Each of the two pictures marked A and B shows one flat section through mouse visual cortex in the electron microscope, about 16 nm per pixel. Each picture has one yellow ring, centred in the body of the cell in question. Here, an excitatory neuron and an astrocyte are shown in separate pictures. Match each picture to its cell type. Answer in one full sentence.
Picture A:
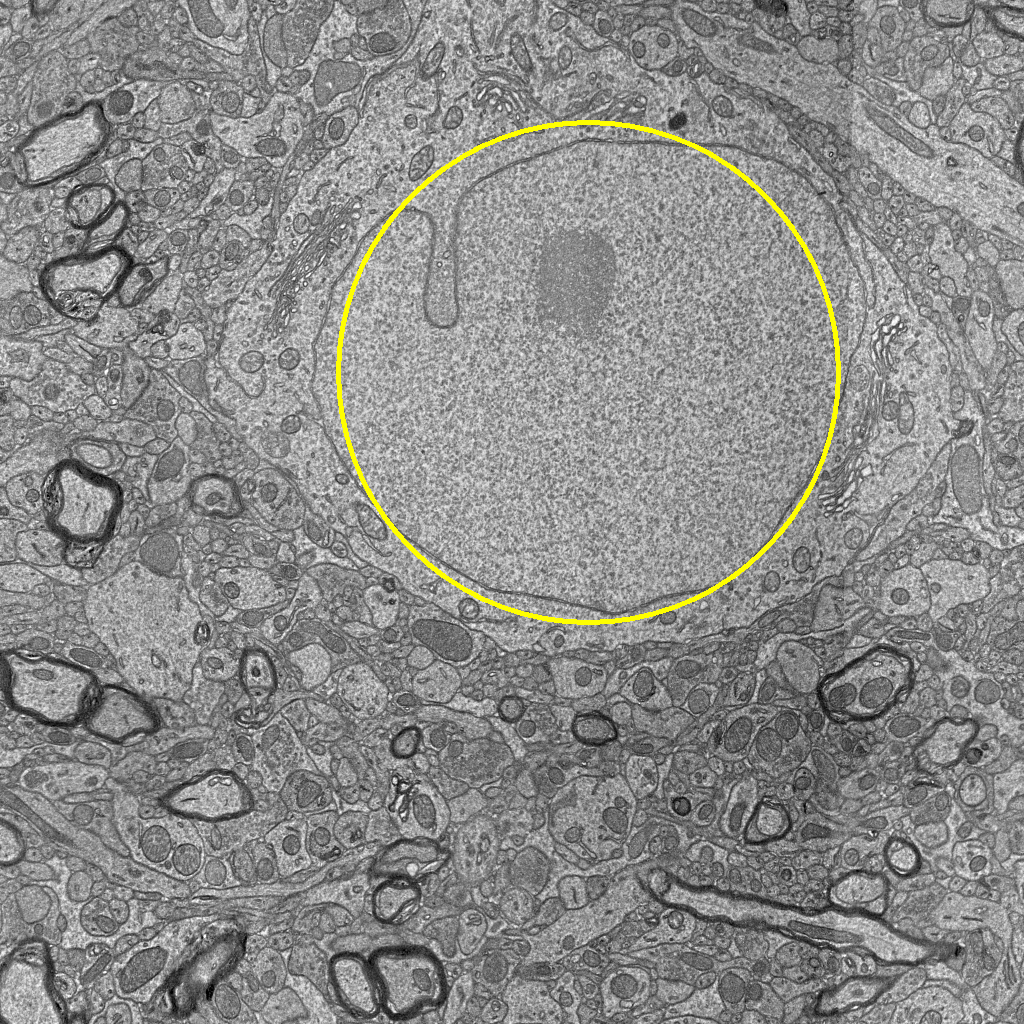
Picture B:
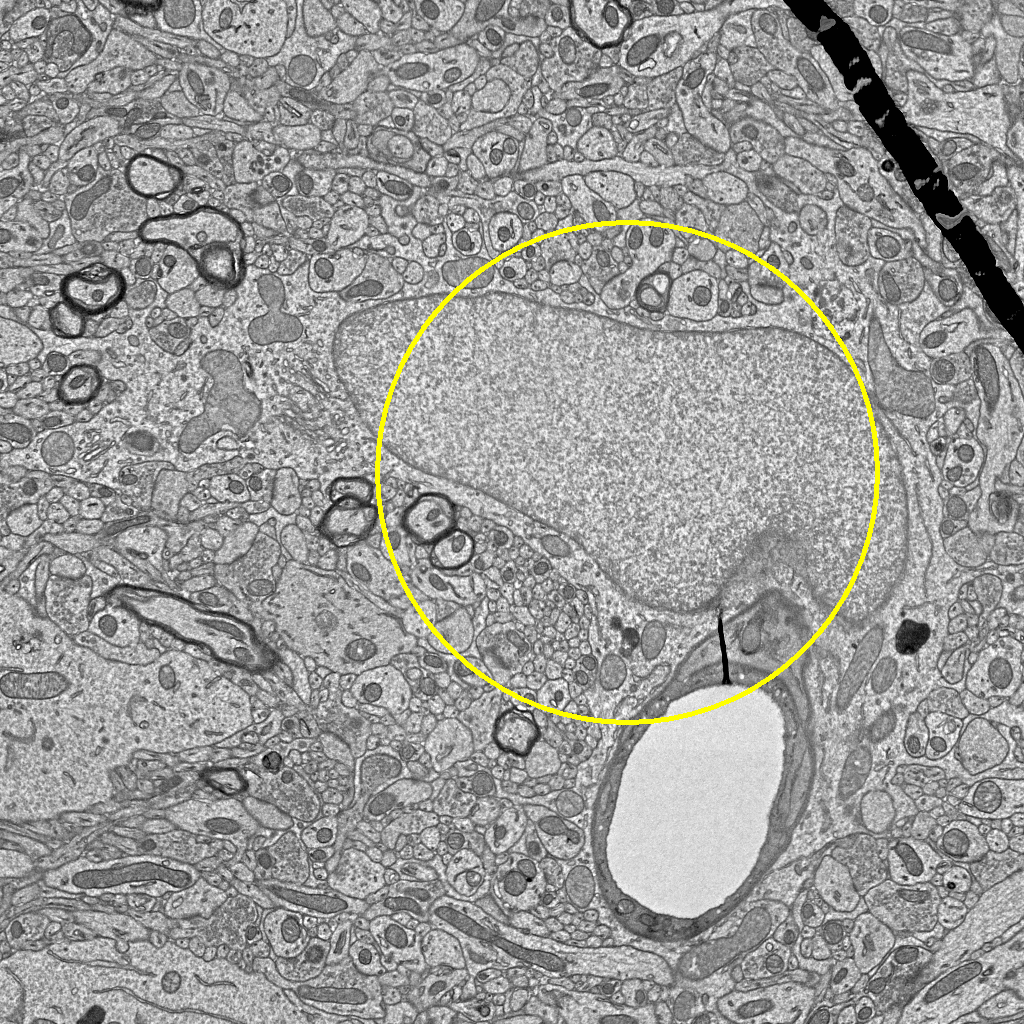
Picture A shows an excitatory neuron and picture B shows an astrocyte.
